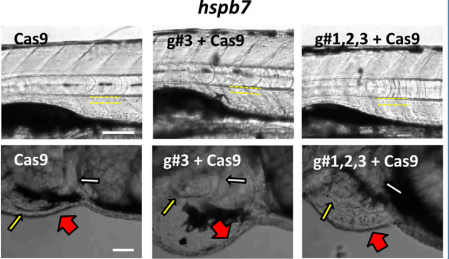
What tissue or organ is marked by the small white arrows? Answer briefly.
Atrium.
